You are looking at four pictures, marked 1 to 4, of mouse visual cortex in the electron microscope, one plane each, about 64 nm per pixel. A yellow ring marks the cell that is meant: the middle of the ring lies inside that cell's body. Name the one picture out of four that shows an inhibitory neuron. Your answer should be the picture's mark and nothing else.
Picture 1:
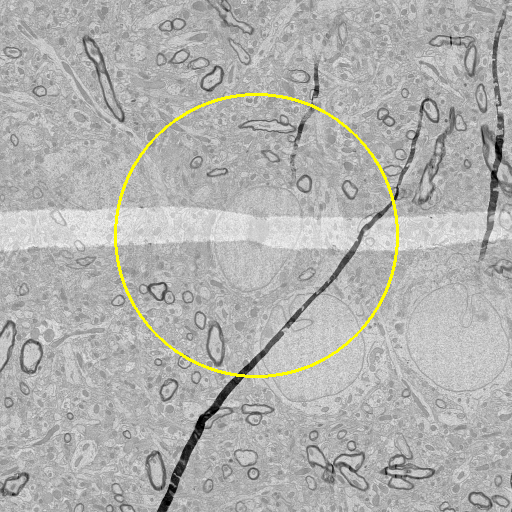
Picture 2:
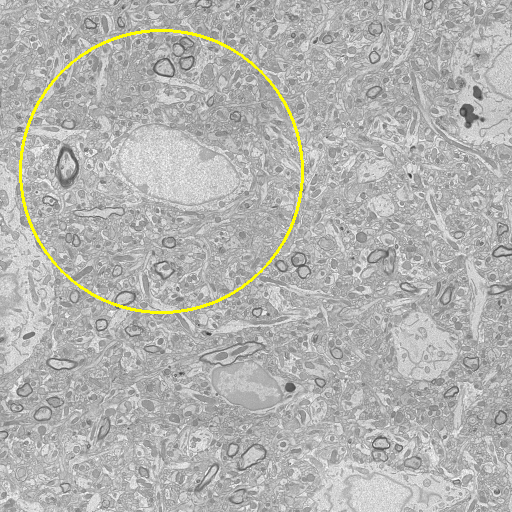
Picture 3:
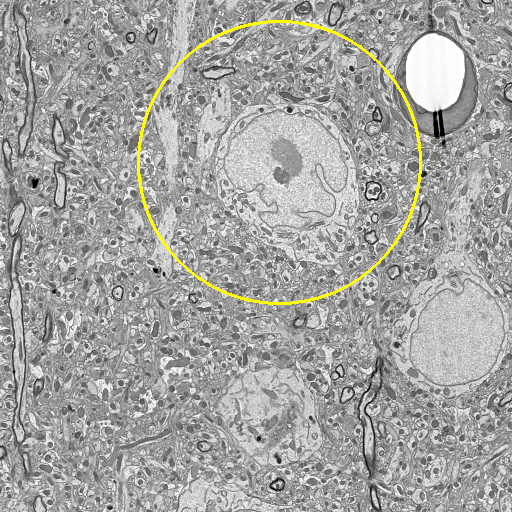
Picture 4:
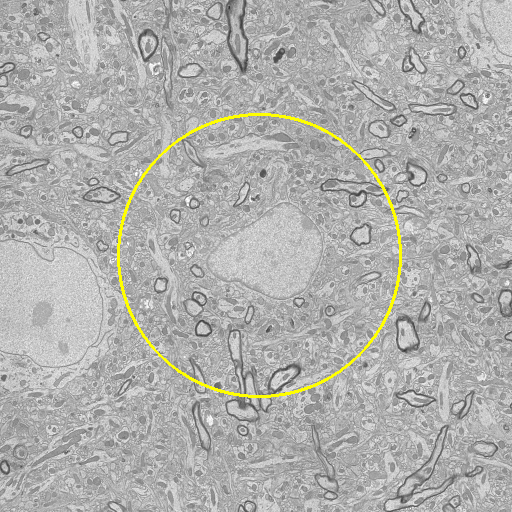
3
